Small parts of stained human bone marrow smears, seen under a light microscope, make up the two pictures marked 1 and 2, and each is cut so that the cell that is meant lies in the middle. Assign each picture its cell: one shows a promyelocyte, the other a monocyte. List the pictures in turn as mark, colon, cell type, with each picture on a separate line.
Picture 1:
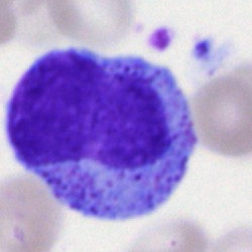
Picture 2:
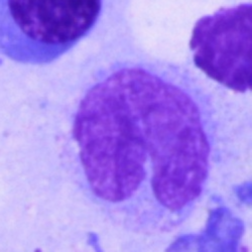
1: promyelocyte
2: monocyte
